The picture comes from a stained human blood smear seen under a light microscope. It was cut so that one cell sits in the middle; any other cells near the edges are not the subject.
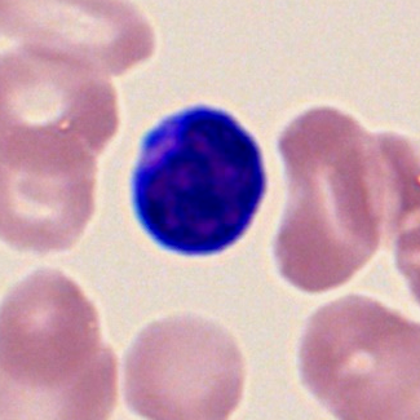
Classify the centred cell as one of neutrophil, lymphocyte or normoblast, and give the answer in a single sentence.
The identification for the central cell is a lymphocyte.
